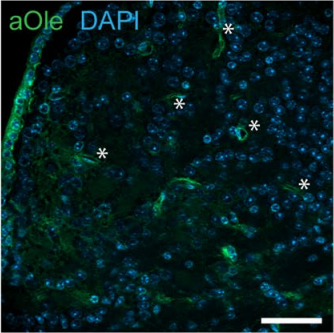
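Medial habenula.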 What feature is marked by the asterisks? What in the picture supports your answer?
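A blood vessel. Thin elongated green-outlined tubular profiles lie next to the asterisks. These profiles run between the round blue nuclei of the tissue.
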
